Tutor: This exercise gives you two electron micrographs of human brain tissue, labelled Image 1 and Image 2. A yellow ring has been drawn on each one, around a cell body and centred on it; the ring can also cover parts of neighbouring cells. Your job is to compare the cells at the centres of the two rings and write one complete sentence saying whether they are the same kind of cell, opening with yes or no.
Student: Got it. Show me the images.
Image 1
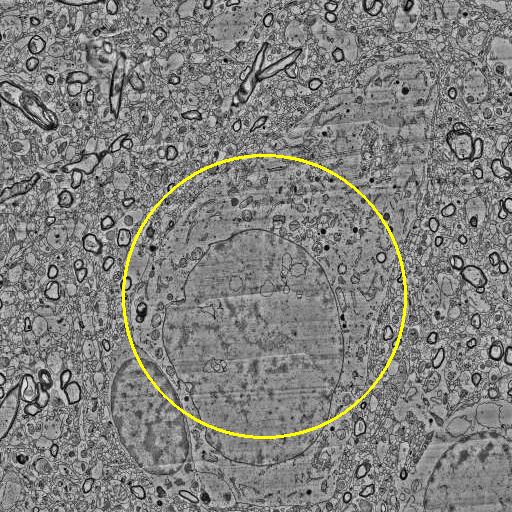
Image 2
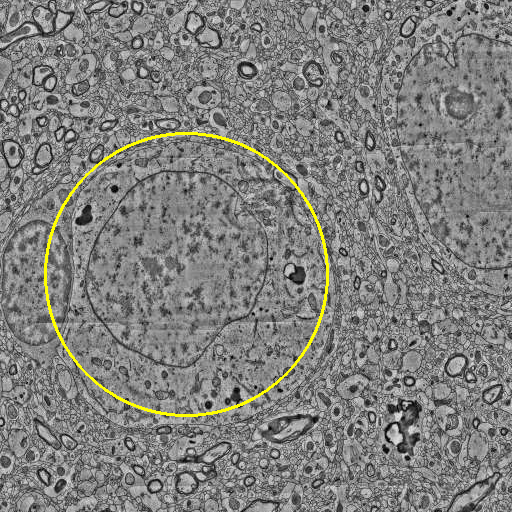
Yes, the two cells belong to the same kind.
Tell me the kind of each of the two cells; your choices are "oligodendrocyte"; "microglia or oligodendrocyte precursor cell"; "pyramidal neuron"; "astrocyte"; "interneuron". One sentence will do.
Both the first and the second picture show a pyramidal neuron in the ring.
